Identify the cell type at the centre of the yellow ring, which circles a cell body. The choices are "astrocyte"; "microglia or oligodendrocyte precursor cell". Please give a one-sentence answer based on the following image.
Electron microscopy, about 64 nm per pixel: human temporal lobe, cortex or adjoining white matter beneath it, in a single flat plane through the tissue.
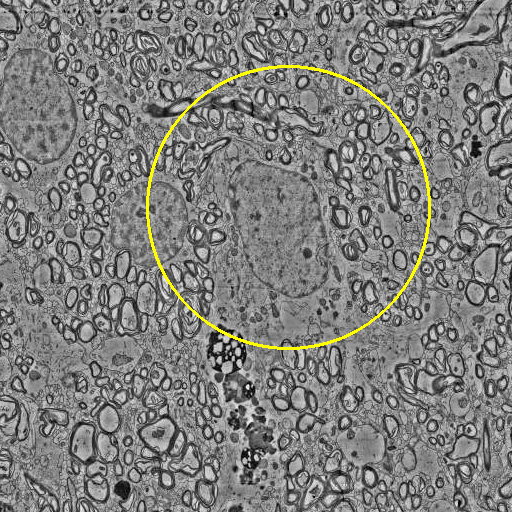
The cell marked by the ring is an astrocyte.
